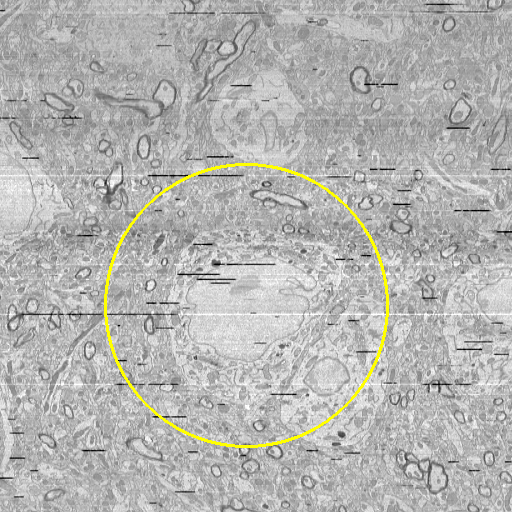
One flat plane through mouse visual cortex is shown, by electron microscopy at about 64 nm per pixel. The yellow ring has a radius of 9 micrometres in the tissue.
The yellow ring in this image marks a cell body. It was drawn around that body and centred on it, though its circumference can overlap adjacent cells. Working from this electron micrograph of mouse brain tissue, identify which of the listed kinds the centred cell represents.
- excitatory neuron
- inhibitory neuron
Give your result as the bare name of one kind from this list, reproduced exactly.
inhibitory neuron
